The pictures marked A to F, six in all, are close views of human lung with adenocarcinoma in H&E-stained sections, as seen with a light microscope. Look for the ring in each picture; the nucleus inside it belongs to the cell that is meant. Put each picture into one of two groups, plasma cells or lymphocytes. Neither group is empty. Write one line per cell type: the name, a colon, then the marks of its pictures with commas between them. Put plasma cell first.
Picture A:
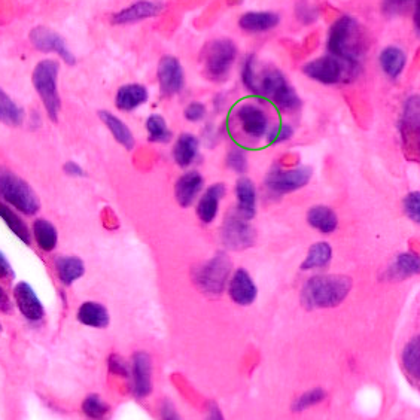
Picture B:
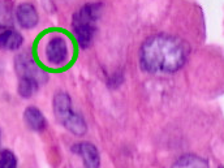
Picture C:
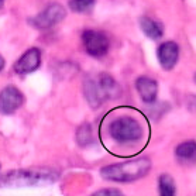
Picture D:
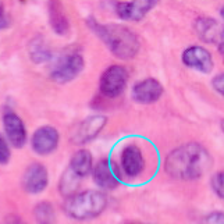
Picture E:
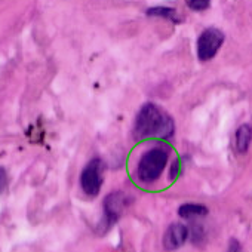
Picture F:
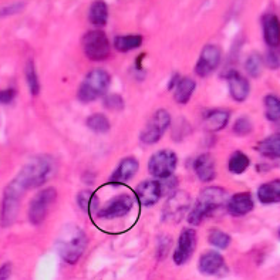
plasma cell: A, E
lymphocyte: B, C, D, F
